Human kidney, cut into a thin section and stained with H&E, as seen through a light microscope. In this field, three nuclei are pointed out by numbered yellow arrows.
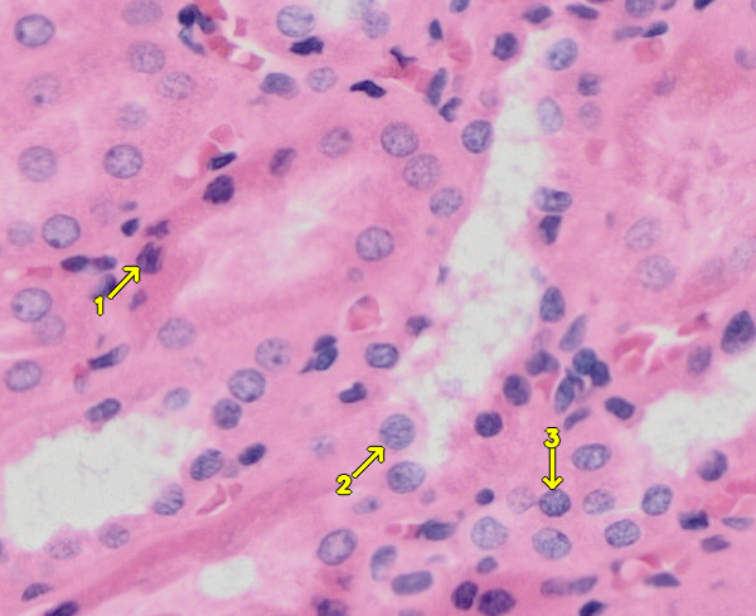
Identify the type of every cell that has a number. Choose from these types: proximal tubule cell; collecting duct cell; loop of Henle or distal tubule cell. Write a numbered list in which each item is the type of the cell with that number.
1. proximal tubule cell
2. loop of Henle or distal tubule cell
3. loop of Henle or distal tubule cell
